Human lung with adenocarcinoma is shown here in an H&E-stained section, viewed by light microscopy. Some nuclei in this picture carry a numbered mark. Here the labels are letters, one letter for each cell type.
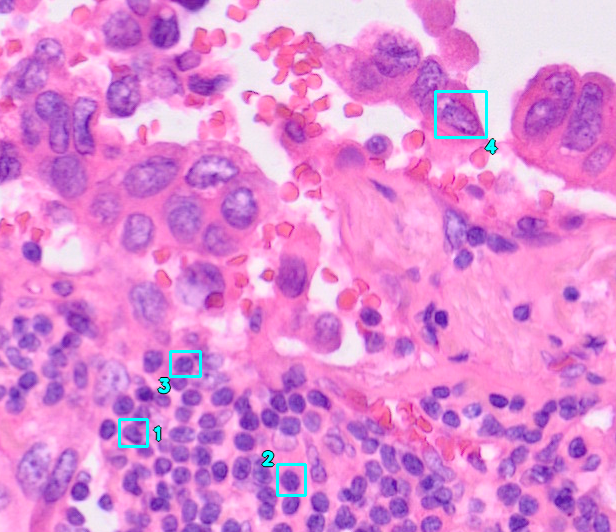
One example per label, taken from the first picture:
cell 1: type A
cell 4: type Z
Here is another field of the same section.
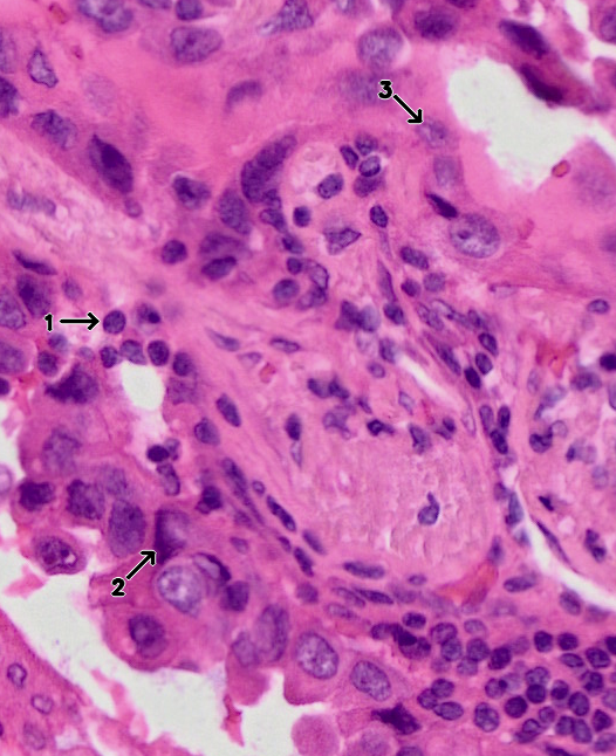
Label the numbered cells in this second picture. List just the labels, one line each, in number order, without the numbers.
type A
type Z
type Z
